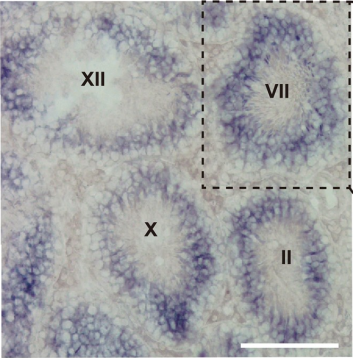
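Cross-sections of several seminiferous tubules of the testis. Each tubule has a thick, multilayered epithelium of rounded germ cells around a central lumen, into which fine tail-like material projects, forming a pale radiating pattern in some tubules. The narrow spaces between neighbouring tubules are lightly coloured and contain few cells. The tubules differ somewhat in the width and intensity of the coloured band.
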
